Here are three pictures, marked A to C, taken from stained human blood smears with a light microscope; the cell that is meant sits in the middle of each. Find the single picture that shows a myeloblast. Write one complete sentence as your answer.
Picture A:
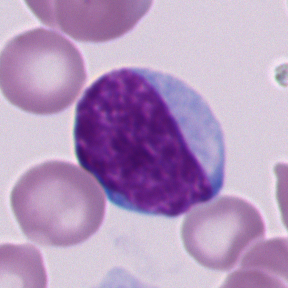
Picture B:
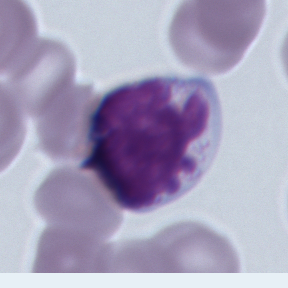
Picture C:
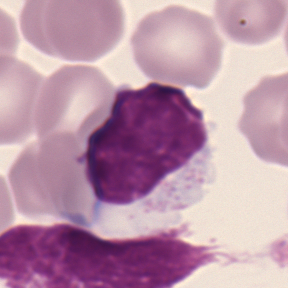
Picture A is the one that shows the myeloblast.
